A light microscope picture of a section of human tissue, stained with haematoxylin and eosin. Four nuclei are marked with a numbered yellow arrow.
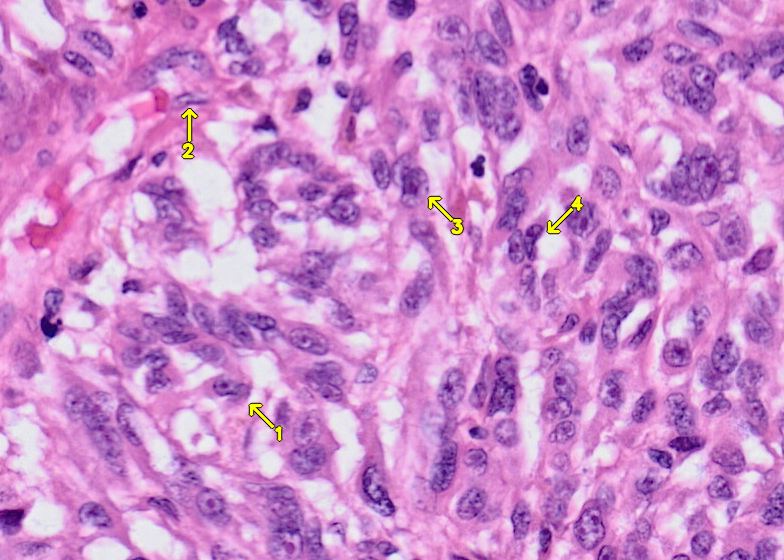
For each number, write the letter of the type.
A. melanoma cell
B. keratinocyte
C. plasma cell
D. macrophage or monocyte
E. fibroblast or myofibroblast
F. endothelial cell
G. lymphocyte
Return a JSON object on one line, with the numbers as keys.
{"1": "A", "2": "F", "3": "A", "4": "A"}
